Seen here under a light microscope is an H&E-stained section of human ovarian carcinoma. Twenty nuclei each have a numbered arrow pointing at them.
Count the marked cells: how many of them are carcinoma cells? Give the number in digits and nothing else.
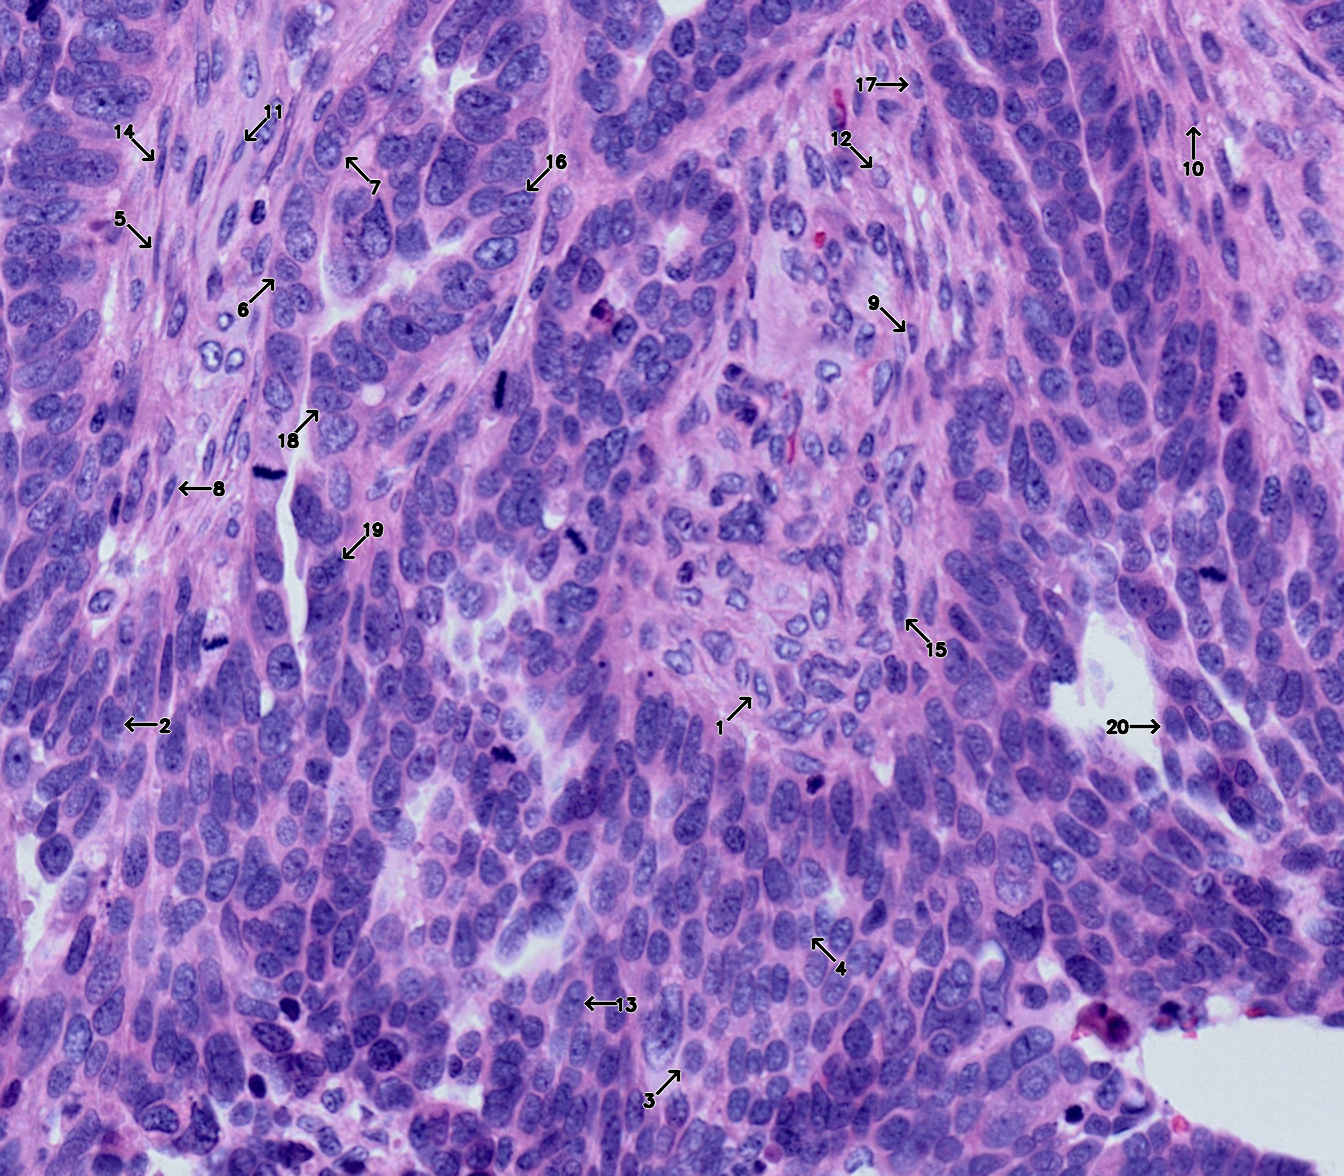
10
